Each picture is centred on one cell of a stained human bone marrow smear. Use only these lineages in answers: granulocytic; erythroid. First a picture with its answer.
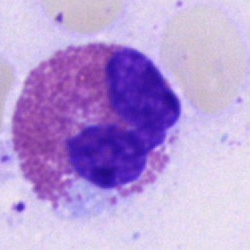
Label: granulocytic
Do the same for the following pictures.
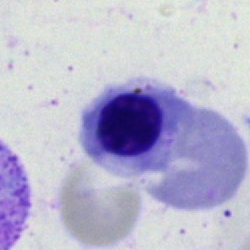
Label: erythroid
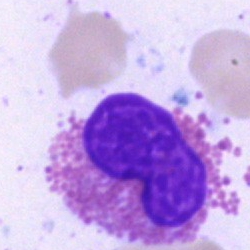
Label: granulocytic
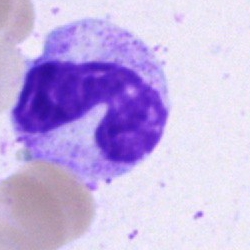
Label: granulocytic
